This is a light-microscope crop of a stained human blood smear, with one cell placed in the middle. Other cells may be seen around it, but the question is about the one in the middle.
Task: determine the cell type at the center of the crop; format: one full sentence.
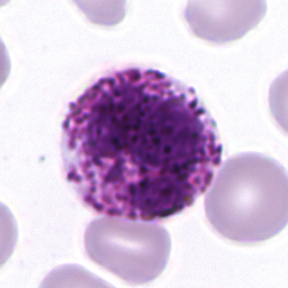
Regarding the central cell, it is a basophil.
